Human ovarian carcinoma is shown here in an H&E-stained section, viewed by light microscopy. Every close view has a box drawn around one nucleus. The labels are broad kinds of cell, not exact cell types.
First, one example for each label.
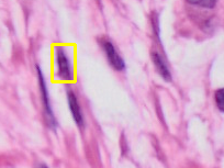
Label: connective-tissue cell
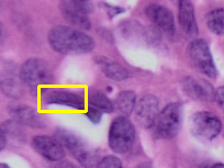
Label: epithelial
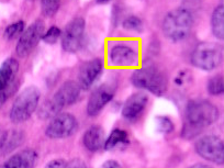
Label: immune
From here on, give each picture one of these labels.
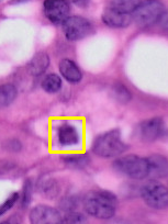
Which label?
epithelial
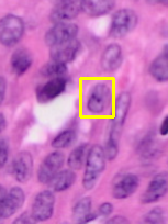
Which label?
immune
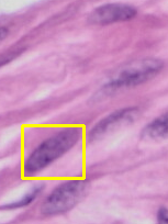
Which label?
connective-tissue cell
